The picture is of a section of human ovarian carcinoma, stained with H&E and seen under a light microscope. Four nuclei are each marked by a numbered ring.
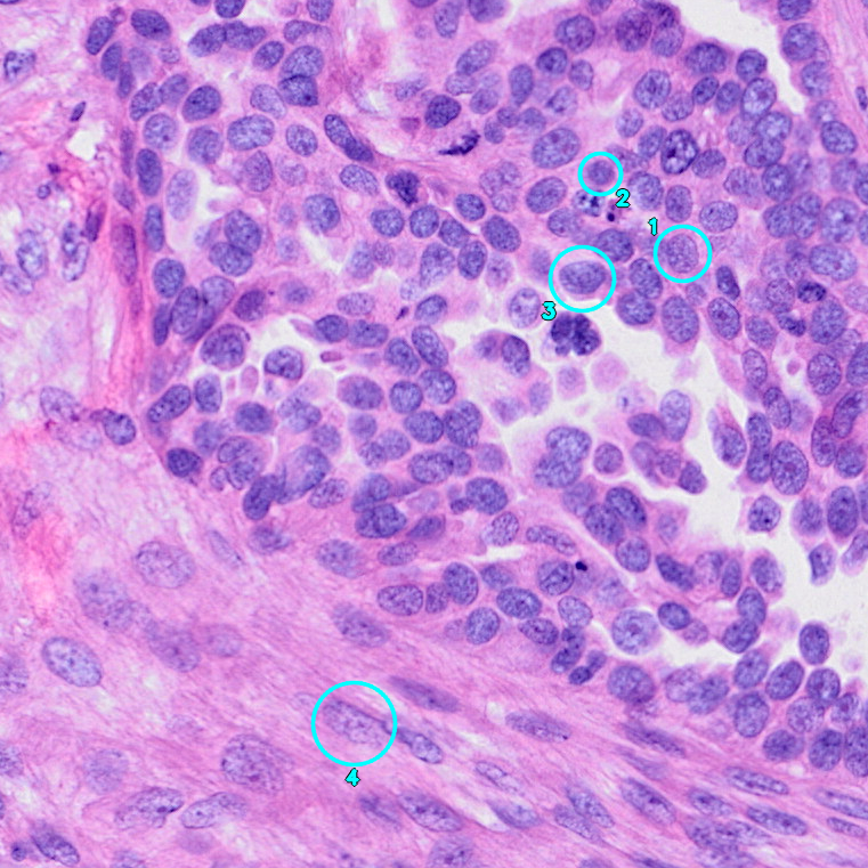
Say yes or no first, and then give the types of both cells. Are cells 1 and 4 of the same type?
No, the identities are a carcinoma cell for cell 1 and a fibroblast for cell 4.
